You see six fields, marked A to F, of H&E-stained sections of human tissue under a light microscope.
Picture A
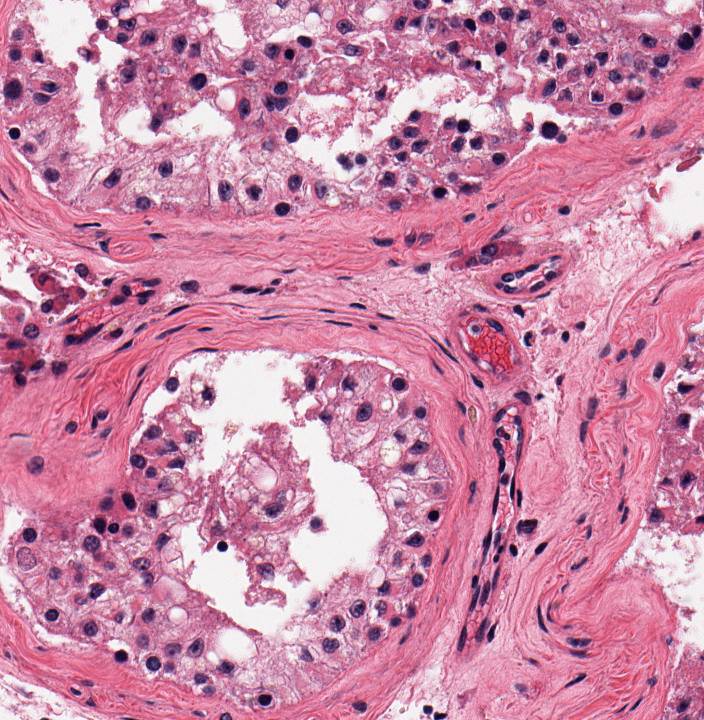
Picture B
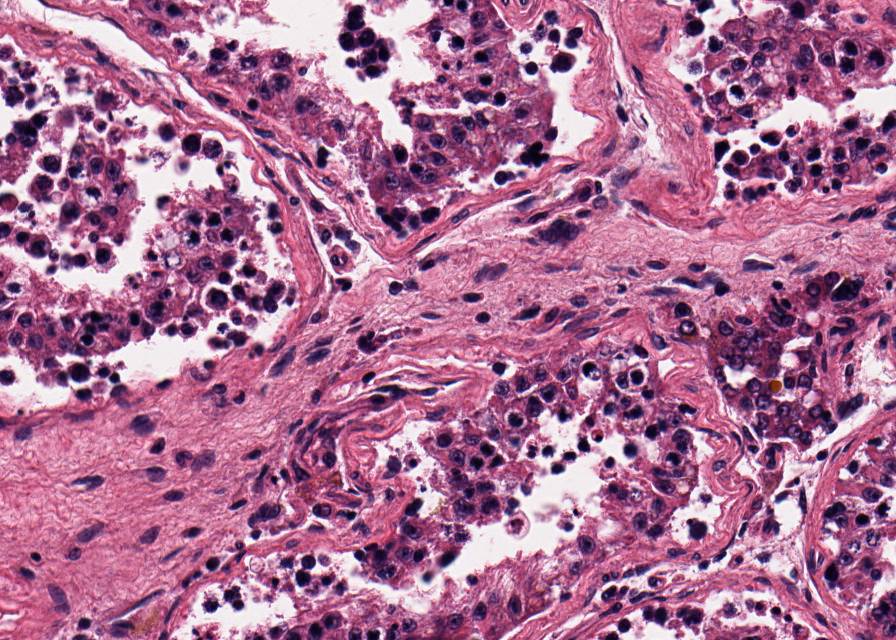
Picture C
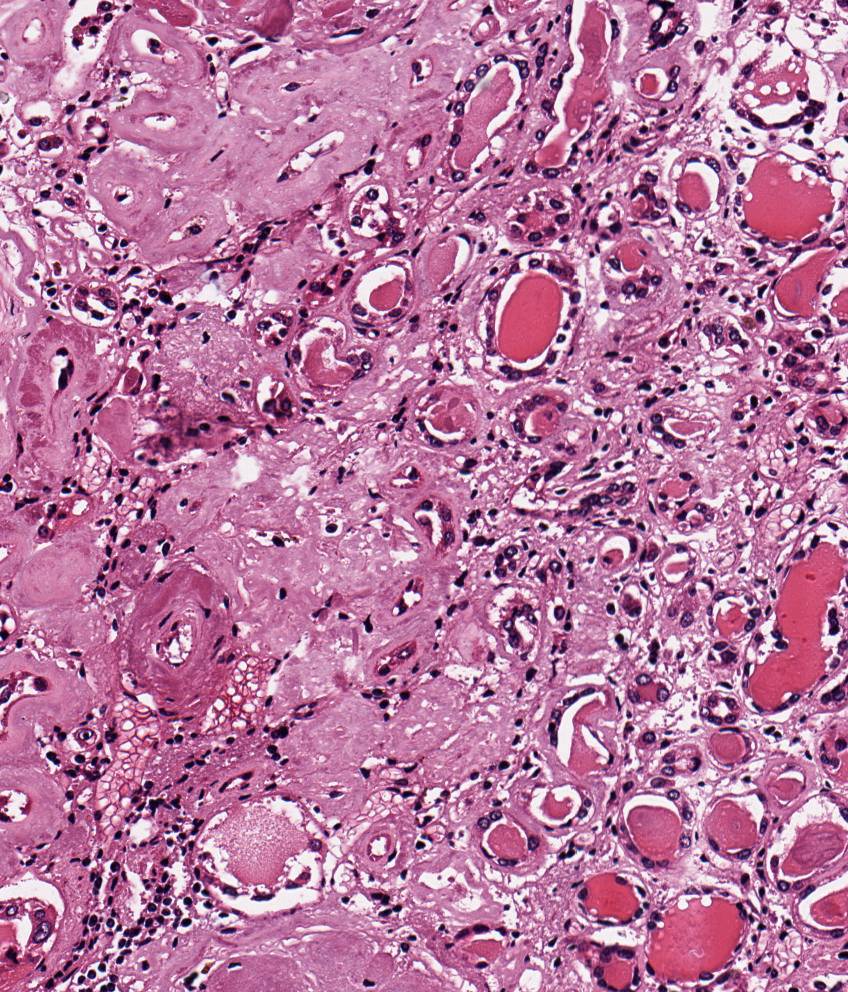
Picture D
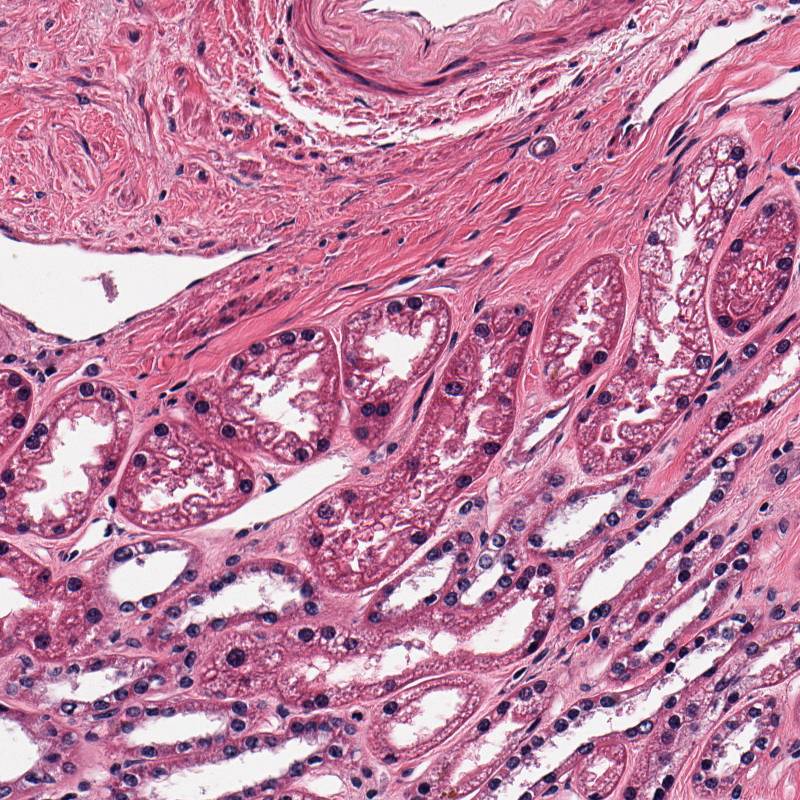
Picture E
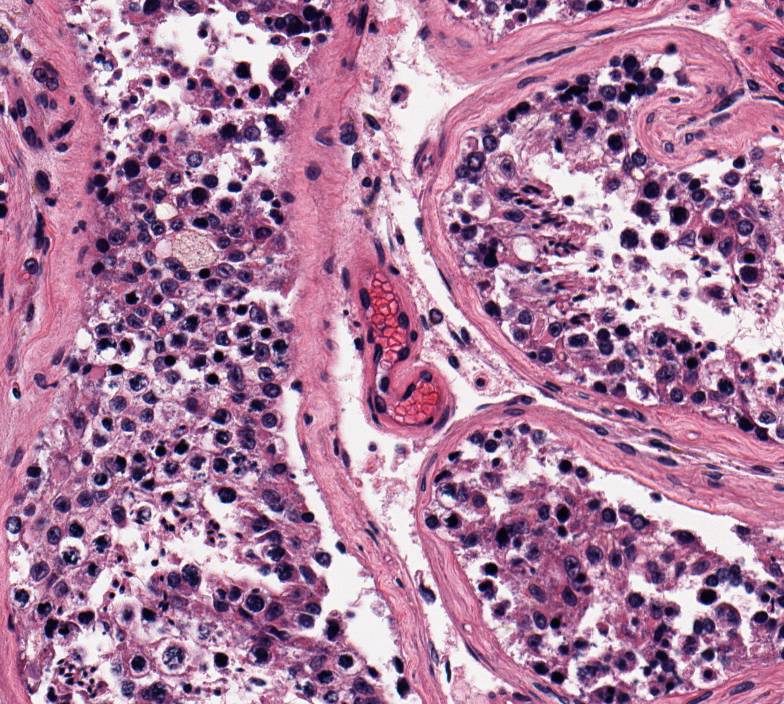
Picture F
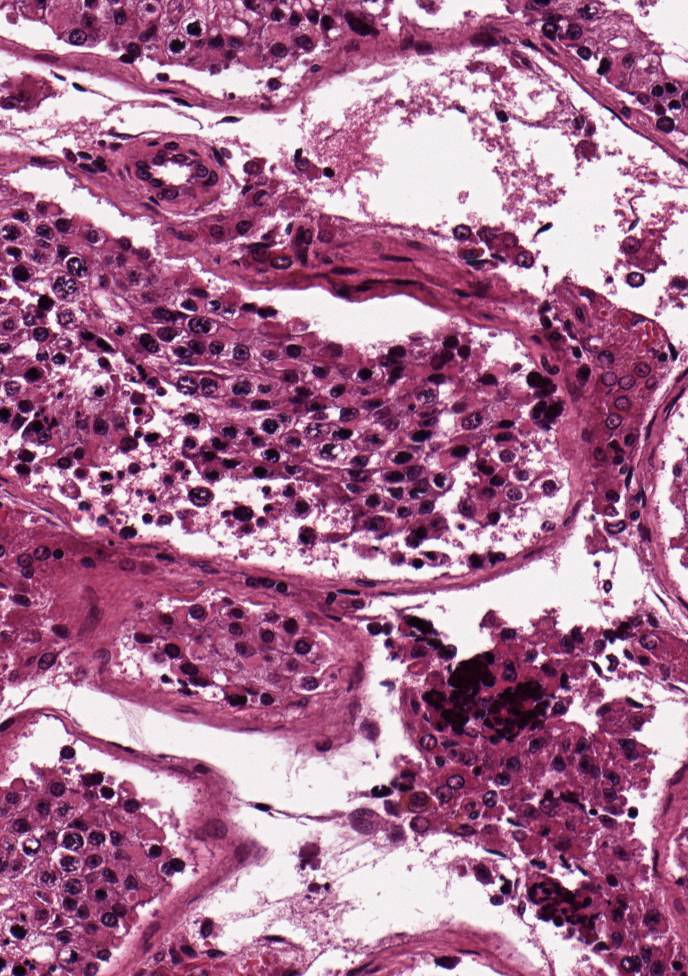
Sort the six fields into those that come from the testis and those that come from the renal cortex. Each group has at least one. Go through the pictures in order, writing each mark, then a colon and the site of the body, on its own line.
A: testis
B: testis
C: renal cortex
D: renal cortex
E: testis
F: testis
